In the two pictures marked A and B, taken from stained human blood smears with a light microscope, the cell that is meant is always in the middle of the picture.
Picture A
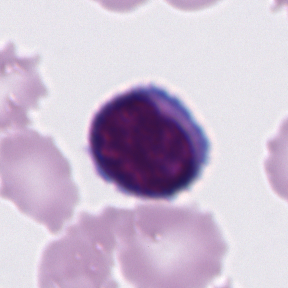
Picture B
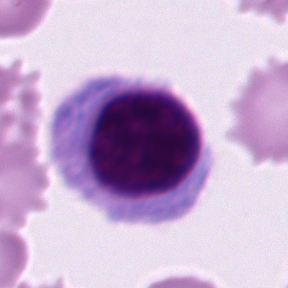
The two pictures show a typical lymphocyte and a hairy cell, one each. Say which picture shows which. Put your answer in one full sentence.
Picture B shows a hairy cell, while picture A shows a typical lymphocyte.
